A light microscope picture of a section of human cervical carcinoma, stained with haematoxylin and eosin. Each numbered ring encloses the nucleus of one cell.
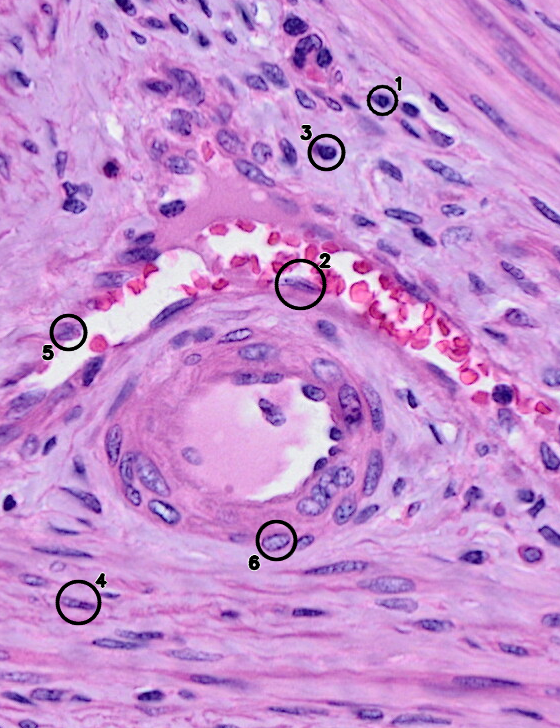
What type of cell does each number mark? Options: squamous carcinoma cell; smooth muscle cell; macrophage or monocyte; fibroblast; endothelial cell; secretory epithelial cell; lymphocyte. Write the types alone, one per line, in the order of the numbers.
lymphocyte
endothelial cell
lymphocyte
smooth muscle cell
endothelial cell
smooth muscle cell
